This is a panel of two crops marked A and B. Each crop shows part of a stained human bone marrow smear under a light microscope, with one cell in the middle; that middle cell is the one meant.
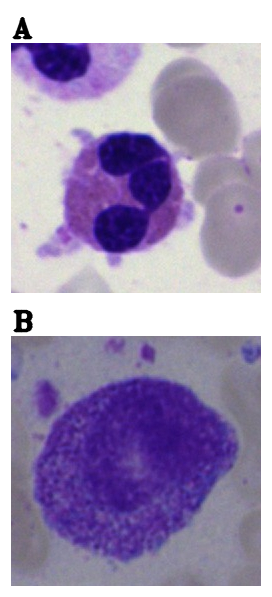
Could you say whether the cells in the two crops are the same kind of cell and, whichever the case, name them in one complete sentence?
No, crop A features an eosinophil, while crop B features a myelocyte.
